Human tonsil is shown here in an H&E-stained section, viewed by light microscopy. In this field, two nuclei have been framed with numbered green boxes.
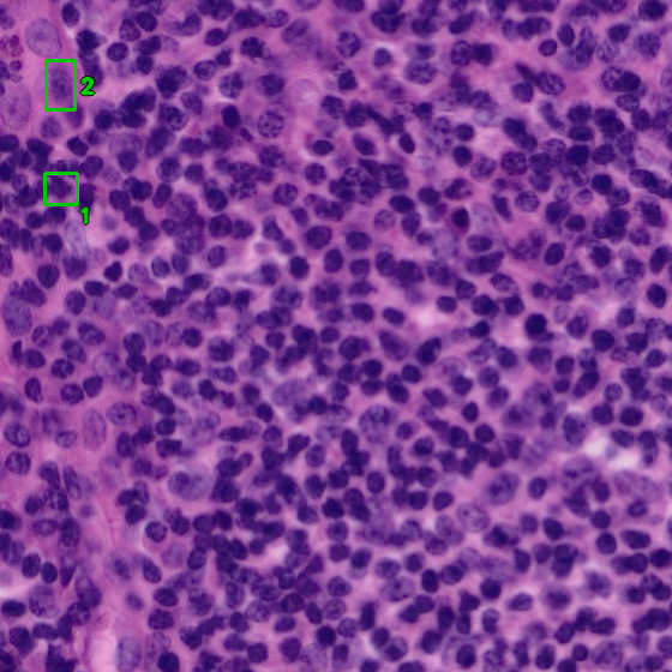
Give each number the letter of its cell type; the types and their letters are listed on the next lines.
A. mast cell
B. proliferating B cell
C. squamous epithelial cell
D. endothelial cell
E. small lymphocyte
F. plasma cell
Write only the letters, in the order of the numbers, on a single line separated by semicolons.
E; D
